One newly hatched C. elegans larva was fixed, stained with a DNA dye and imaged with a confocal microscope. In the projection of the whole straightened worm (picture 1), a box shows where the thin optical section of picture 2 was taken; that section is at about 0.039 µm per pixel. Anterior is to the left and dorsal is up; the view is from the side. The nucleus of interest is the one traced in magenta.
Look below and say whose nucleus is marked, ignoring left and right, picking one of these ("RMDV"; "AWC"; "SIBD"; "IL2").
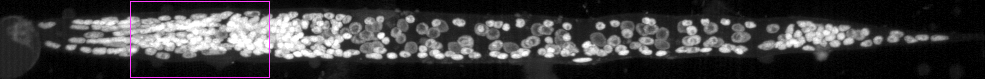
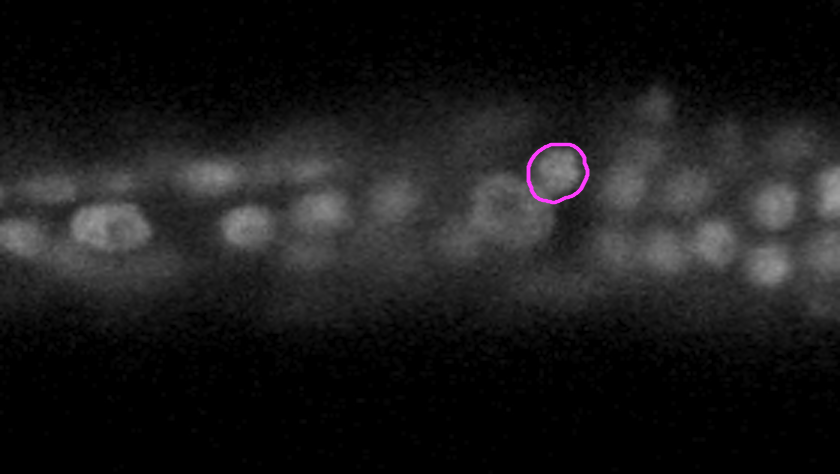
RMDV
